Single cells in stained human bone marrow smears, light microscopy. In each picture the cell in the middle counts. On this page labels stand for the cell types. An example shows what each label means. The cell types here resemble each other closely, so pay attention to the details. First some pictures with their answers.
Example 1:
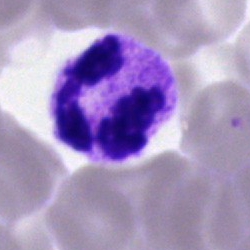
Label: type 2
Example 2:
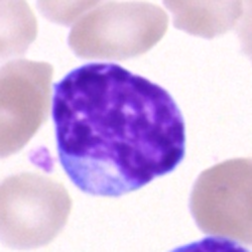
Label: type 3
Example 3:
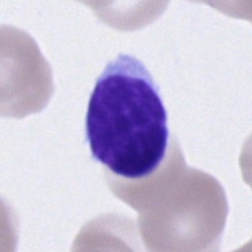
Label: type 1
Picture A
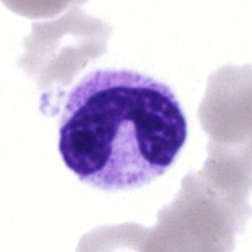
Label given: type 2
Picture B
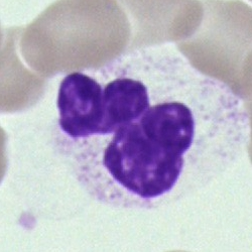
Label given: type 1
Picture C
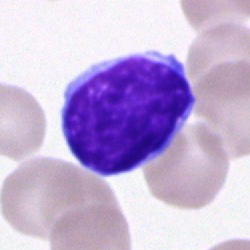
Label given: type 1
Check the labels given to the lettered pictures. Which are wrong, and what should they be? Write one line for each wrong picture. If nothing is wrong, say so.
B is labelled type 1; correct label: type 2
